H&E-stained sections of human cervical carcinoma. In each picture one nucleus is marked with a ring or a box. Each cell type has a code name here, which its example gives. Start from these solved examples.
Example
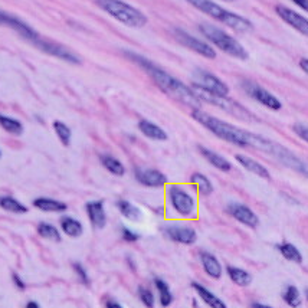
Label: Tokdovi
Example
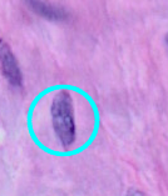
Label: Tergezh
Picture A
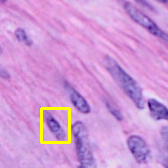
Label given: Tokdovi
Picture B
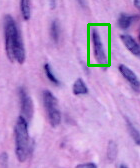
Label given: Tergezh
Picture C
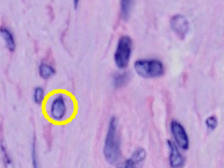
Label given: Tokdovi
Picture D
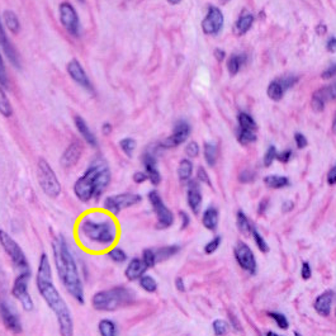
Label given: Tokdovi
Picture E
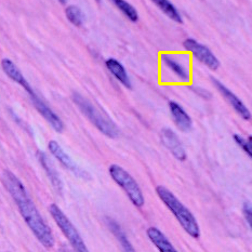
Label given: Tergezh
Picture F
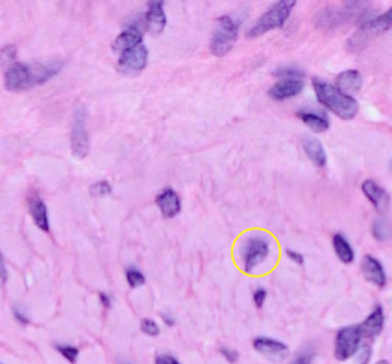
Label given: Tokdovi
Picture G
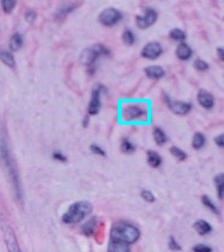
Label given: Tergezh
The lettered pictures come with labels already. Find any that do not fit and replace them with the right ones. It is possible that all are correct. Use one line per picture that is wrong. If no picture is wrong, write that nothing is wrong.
F should be Tergezh, not Tokdovi
G should be Tokdovi, not Tergezh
